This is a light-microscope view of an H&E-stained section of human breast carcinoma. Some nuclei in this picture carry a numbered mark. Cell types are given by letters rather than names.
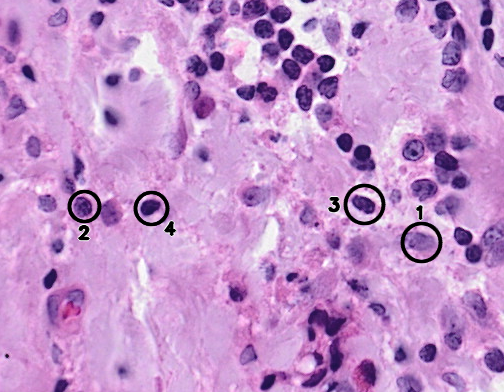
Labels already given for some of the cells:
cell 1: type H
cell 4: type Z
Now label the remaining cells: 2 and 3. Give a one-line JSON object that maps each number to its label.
{"2": "type Z", "3": "type Z"}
